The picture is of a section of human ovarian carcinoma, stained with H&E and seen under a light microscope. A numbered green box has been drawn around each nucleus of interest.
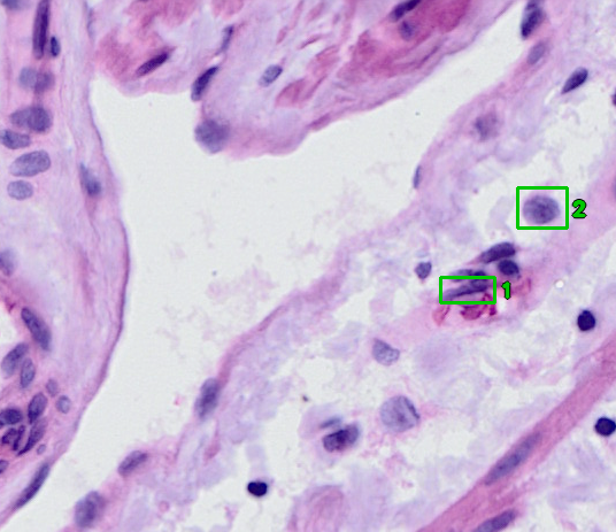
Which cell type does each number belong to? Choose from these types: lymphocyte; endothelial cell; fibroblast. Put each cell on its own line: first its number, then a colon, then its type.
1: endothelial cell
2: fibroblast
